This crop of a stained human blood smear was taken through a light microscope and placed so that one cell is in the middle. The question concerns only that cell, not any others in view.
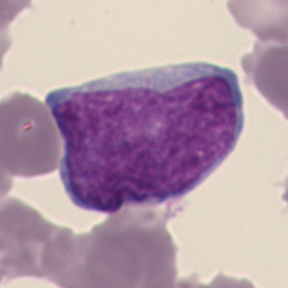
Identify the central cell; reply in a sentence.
Standing at the centre of this crop is a myeloblast.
